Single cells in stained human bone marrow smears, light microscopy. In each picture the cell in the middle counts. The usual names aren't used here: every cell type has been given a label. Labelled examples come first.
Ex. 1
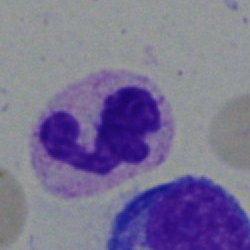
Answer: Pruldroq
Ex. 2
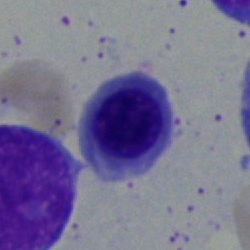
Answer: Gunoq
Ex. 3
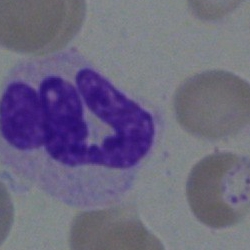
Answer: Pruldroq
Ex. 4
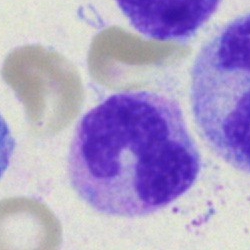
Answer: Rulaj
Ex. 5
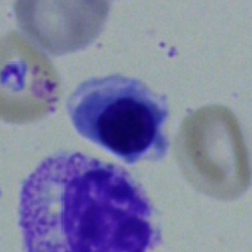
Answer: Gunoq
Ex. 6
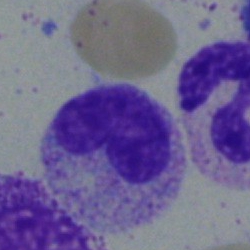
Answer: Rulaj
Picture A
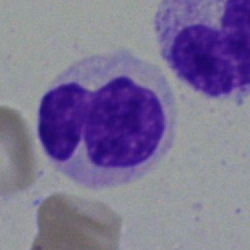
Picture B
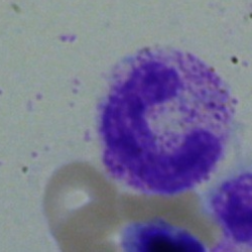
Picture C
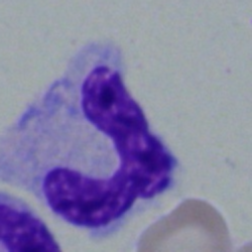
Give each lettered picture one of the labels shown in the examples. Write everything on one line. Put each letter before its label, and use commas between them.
A Rulaj, B Rulaj, C Rulaj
